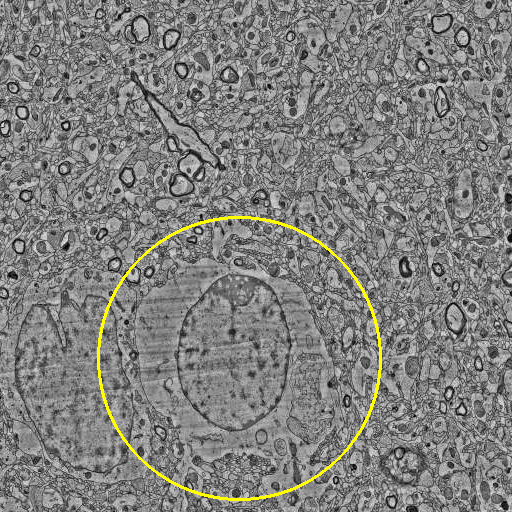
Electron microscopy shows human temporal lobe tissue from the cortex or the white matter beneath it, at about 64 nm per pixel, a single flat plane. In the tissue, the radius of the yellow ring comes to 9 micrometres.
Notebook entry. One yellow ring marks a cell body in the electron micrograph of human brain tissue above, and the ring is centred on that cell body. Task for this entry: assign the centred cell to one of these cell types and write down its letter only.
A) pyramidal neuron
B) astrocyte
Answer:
B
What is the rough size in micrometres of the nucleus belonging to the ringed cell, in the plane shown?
The ringed cell's nucleus is about 10 micrometres long and 7 micrometres wide in this plane.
